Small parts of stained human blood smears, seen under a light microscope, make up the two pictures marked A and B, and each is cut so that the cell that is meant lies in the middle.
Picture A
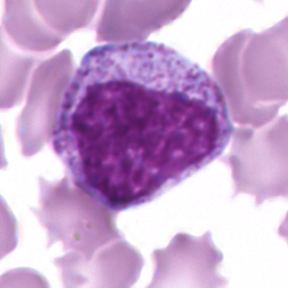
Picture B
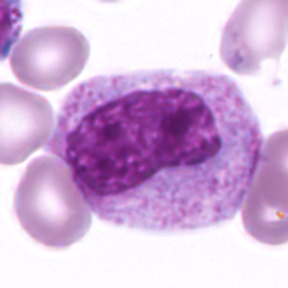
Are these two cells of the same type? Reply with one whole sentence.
Yes, both cells are myelocytes.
